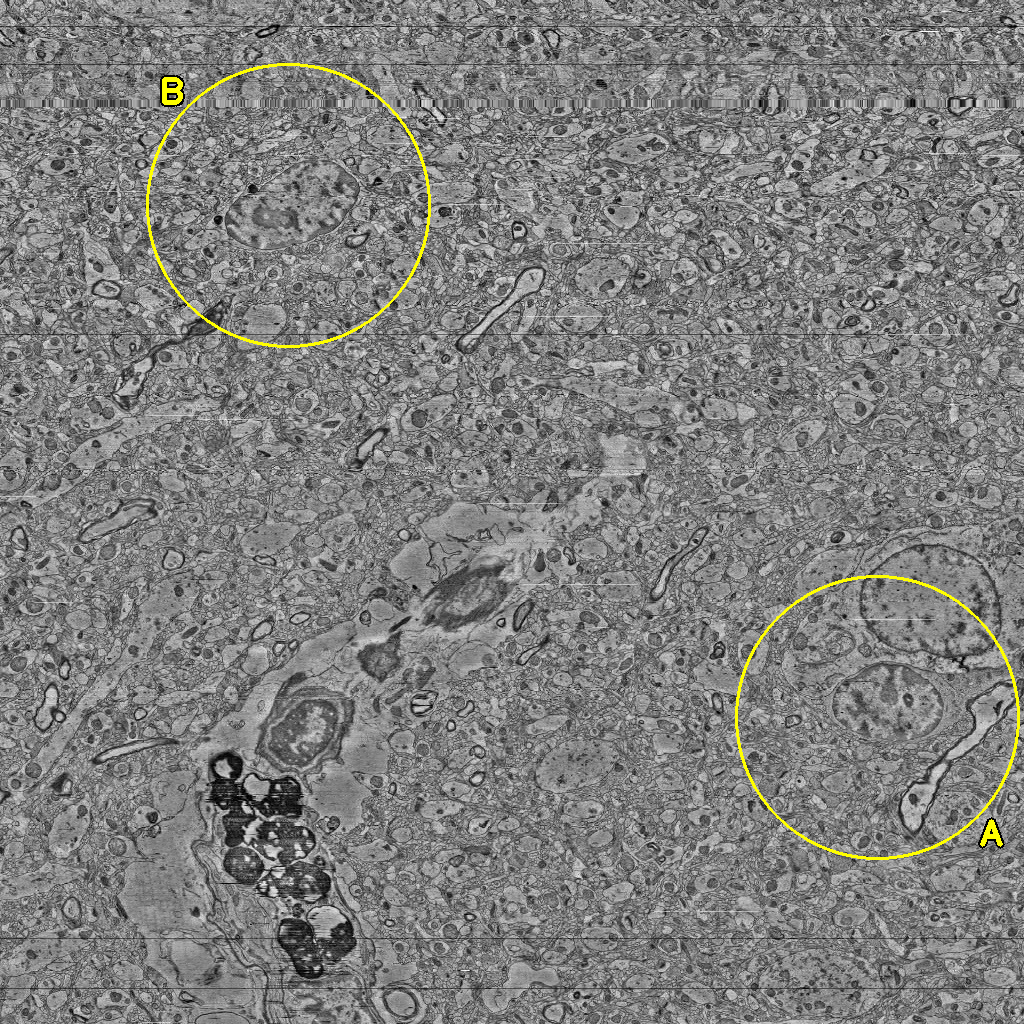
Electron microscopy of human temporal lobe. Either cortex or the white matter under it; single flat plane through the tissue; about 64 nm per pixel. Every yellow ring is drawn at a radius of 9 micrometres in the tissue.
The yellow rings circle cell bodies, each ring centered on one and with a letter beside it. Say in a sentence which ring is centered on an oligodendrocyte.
Ring A is centered on it.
